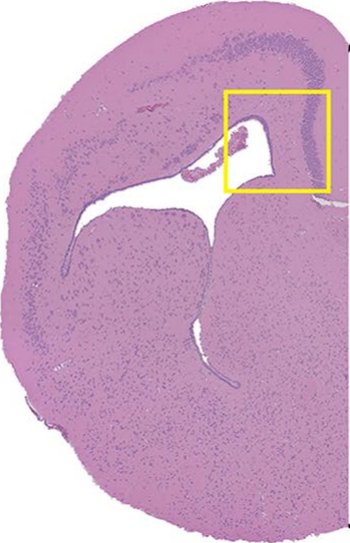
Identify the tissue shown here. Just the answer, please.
telencephalon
